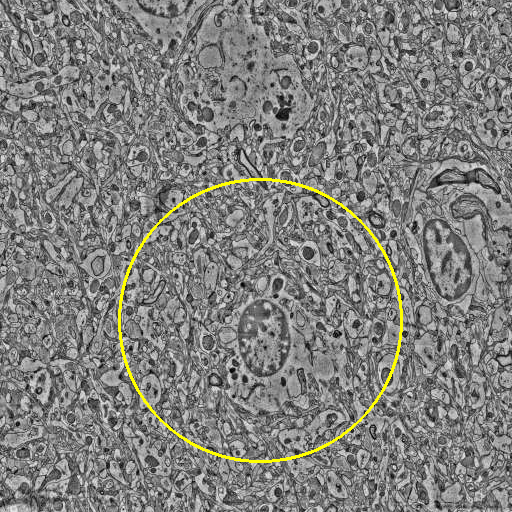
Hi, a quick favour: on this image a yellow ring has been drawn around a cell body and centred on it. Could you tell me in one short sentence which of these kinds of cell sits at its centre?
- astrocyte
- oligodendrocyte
The ring is centred on an astrocyte.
